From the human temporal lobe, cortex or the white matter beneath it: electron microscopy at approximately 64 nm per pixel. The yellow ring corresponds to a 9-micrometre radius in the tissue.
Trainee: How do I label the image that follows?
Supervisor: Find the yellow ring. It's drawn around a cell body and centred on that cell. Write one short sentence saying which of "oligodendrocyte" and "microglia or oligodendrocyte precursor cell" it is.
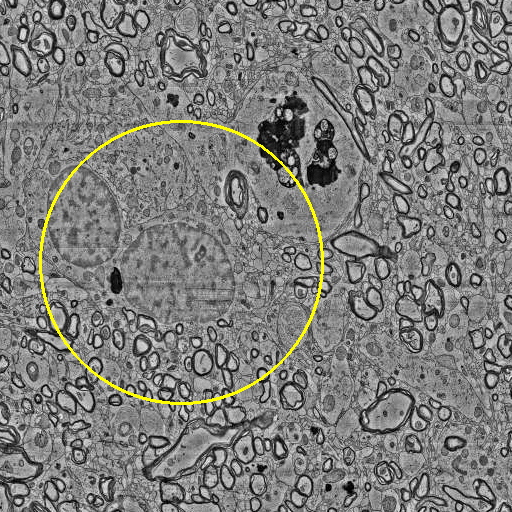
This is the cell body of an oligodendrocyte.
